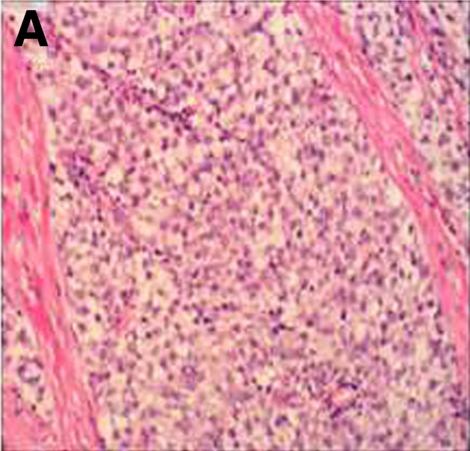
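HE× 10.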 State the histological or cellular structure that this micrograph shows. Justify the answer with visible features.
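Tumor cells form a large sheet-like group bounded by bands of pink fibrous tissue. The pink bands run along both sides of the cell group. The answer: nest-like arrangement.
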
